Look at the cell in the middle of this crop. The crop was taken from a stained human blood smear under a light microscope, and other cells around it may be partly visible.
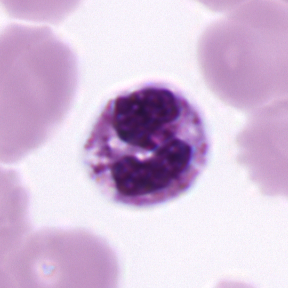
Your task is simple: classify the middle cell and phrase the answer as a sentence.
The single cell at the center of the crop is an eosinophil.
